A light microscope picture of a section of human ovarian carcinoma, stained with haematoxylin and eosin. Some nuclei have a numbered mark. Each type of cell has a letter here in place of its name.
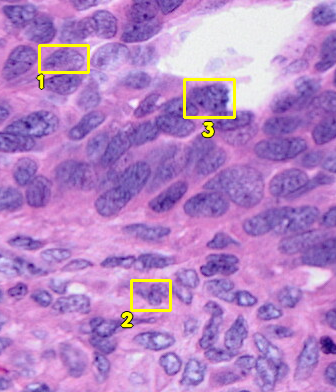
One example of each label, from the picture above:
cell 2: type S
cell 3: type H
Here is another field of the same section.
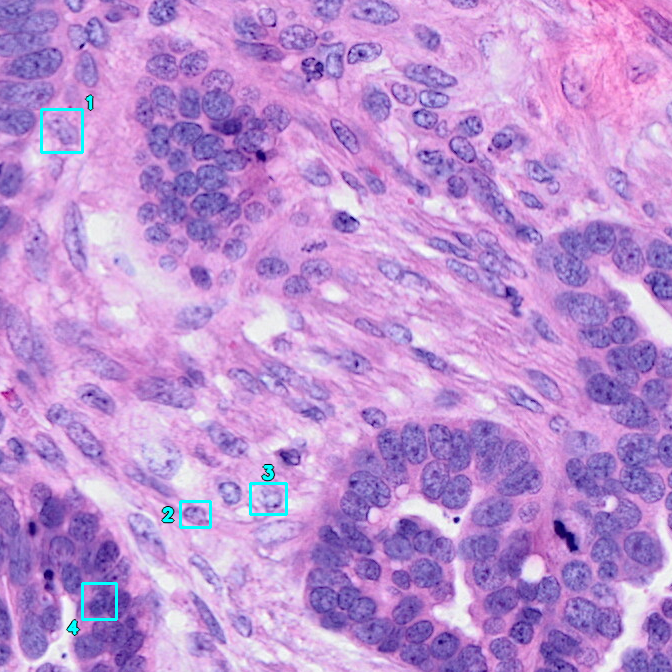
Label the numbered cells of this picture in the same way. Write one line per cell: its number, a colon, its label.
1: type S
2: type S
3: type S
4: type H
